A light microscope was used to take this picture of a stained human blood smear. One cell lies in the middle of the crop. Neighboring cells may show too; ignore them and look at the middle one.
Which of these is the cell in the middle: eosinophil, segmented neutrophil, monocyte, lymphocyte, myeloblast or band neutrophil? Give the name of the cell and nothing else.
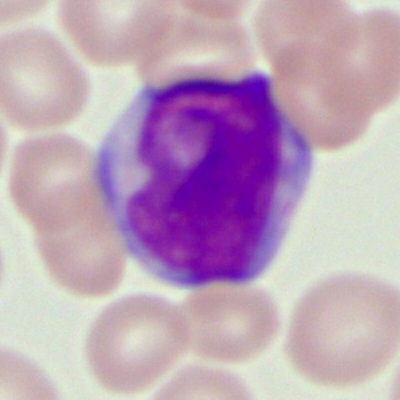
myeloblast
